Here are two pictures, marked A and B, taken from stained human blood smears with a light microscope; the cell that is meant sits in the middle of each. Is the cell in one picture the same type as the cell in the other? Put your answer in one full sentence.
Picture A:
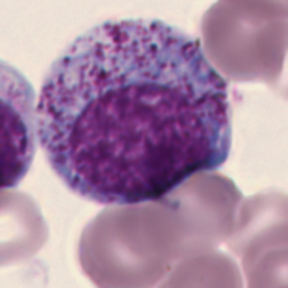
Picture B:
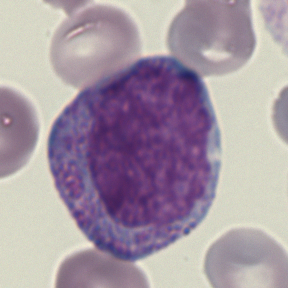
Yes, both cells are promyelocytes.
